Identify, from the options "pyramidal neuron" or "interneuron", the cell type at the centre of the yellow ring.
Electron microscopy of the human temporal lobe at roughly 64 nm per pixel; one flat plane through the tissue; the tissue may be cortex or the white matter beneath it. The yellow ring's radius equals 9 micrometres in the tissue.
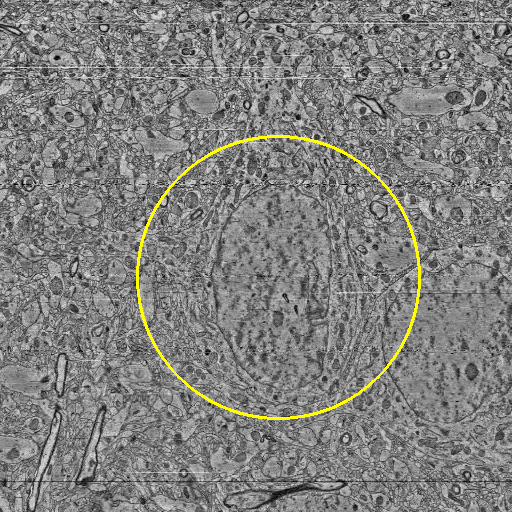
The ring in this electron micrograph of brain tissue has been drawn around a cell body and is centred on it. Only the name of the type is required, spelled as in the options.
interneuron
